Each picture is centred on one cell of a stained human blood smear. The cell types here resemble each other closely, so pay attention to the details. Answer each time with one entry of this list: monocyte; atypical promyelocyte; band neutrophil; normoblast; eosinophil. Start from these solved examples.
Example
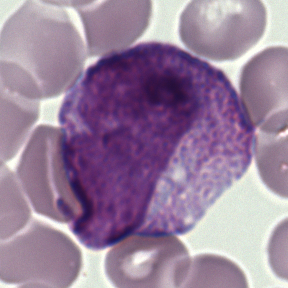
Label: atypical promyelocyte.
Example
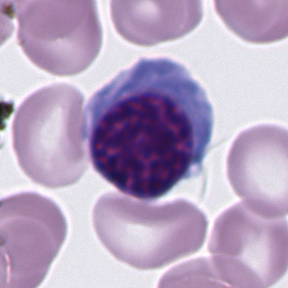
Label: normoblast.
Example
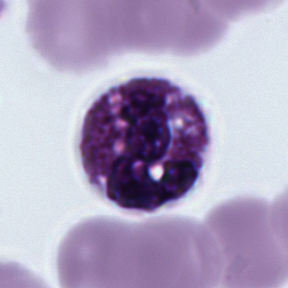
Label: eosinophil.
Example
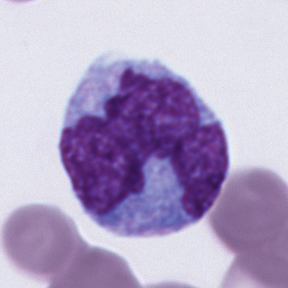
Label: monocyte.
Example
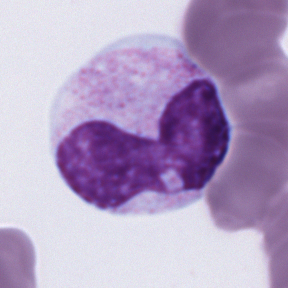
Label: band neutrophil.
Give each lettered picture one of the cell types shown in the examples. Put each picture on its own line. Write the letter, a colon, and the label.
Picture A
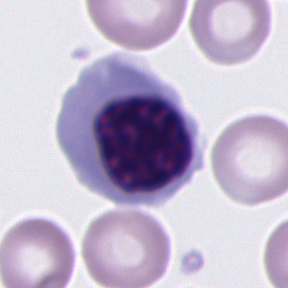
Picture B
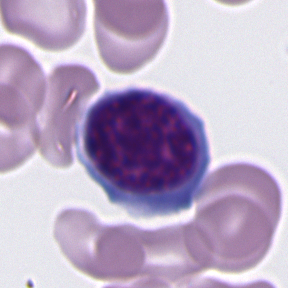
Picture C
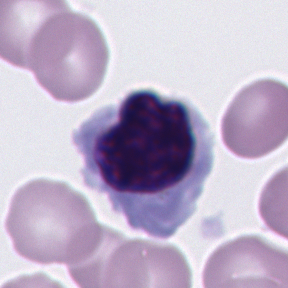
A: normoblast.
B: normoblast.
C: normoblast.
